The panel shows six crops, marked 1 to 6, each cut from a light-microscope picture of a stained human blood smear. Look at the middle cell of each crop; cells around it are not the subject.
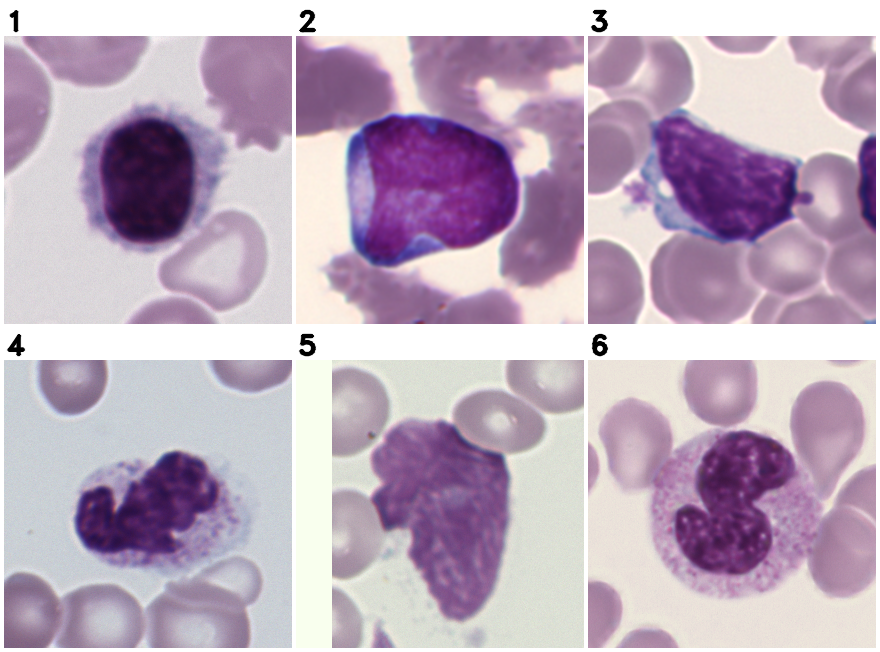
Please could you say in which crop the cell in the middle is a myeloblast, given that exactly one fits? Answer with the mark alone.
2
